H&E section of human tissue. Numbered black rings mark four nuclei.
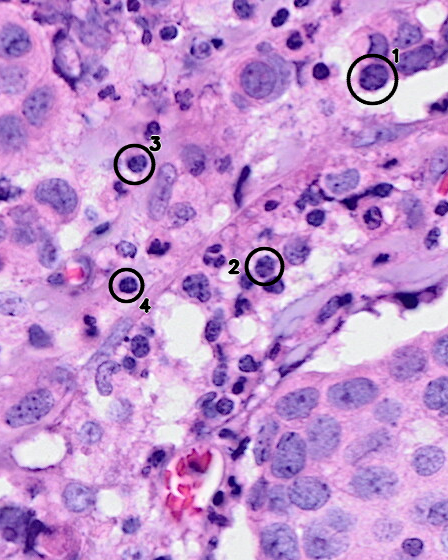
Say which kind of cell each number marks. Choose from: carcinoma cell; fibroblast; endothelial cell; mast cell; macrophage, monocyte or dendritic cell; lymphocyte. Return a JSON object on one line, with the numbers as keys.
{"1": "carcinoma cell", "2": "lymphocyte", "3": "lymphocyte", "4": "lymphocyte"}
